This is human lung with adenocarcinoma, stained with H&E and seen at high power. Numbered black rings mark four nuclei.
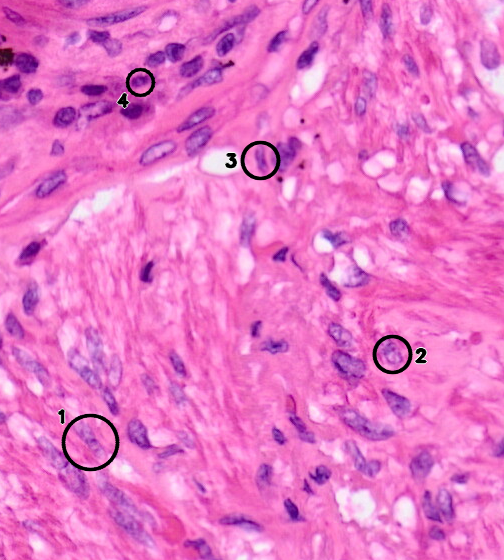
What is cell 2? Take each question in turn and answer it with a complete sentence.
The marked cell with the number 2 is recognised as a smooth muscle cell or pericyte.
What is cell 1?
Looking at the numbered marks, cell 1 is a smooth muscle cell or pericyte.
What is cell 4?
Within this field of view, the cell labelled 4 is a plasma cell.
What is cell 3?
The cell with the number 3 is a mast cell.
